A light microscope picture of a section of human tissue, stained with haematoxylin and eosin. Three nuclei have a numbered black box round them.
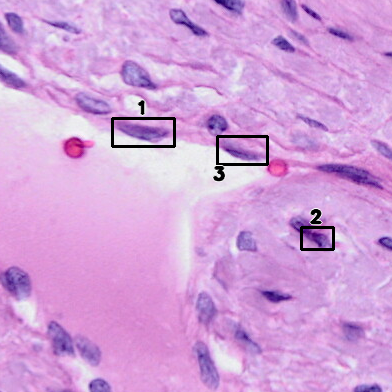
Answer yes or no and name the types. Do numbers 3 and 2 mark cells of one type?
No, cell 3 is an endothelial cell and cell 2 is a macrophage or monocyte.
